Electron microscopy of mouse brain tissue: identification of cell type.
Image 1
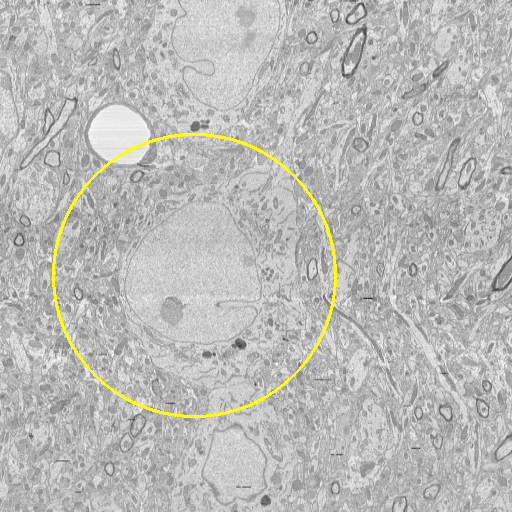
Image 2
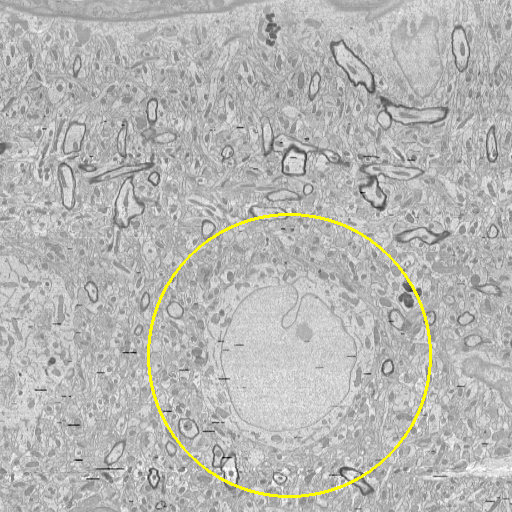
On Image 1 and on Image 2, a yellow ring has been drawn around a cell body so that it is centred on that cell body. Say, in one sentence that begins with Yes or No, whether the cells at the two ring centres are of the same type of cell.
Yes, both cells are the same type of cell.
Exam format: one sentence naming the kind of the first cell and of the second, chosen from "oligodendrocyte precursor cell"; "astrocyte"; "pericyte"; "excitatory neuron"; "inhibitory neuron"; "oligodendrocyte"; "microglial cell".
In the first picture and in the second, the ring is centred on an excitatory neuron.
